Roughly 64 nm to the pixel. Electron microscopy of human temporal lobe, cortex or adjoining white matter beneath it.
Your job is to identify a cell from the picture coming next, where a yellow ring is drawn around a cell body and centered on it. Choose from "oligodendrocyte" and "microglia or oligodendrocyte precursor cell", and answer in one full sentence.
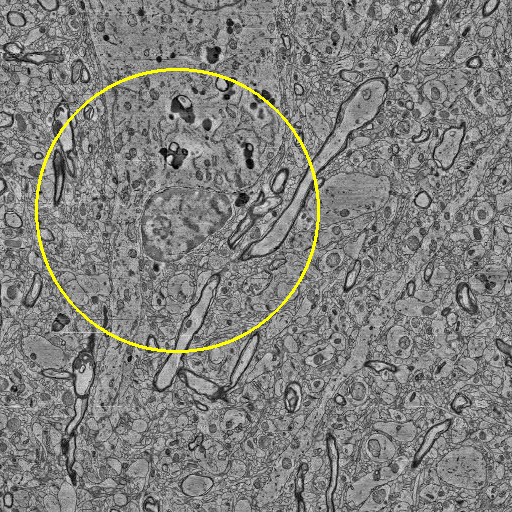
Centered in the yellow ring of the picture is the body of a microglial cell or oligodendrocyte precursor cell.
